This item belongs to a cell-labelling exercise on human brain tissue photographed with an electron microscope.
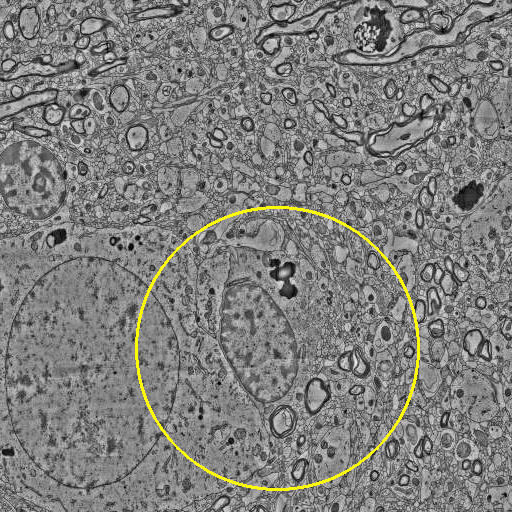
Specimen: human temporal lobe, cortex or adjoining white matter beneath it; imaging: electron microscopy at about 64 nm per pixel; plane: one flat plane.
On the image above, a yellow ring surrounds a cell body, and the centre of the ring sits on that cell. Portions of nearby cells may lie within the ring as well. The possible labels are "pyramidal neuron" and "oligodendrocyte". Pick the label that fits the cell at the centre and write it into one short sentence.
This cell should be labelled as an oligodendrocyte.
